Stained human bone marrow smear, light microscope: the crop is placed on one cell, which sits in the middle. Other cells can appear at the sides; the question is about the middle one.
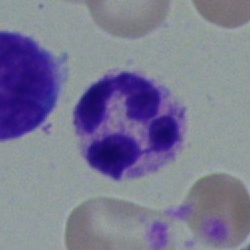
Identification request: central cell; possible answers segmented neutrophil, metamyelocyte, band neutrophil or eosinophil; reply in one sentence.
Where the crop is centred, there is a segmented neutrophil.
